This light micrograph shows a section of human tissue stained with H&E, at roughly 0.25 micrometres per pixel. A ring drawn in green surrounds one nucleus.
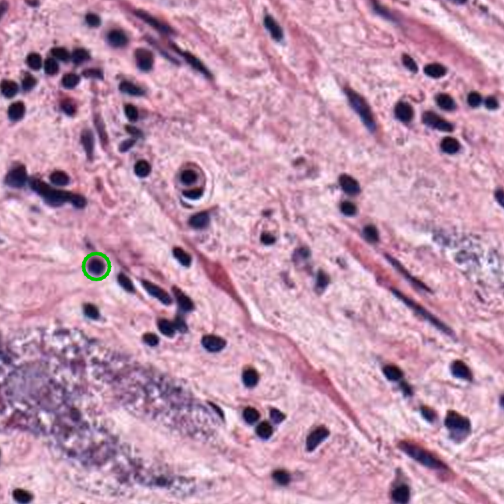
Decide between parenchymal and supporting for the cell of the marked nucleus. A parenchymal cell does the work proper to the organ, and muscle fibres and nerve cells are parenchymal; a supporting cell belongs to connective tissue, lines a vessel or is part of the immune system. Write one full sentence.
A supporting cell is what the marked nucleus belongs to.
